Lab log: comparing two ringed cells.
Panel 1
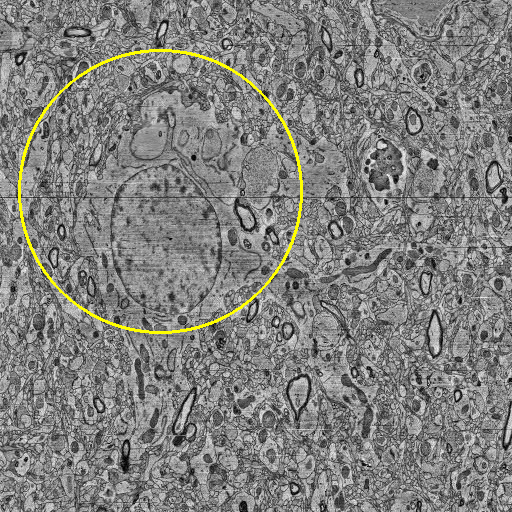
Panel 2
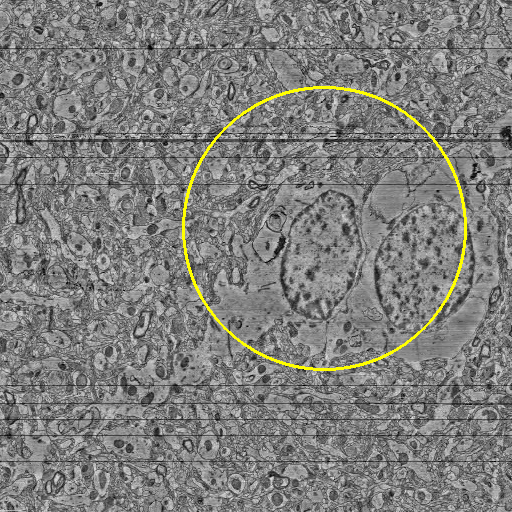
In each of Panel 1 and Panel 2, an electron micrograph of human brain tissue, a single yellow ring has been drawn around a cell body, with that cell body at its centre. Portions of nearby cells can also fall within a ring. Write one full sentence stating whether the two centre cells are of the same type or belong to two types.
The cells at the ring centres in Panel 1 and Panel 2 are of the same type.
